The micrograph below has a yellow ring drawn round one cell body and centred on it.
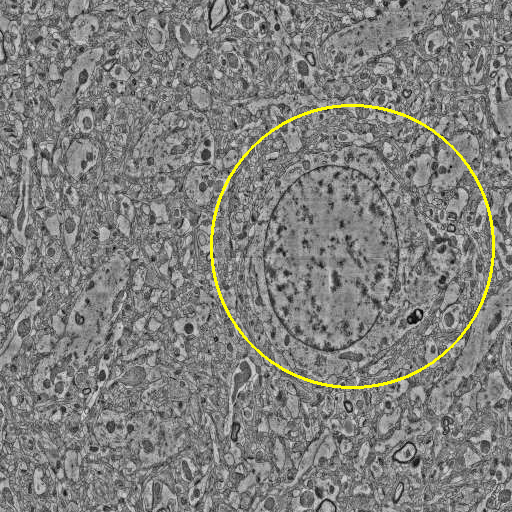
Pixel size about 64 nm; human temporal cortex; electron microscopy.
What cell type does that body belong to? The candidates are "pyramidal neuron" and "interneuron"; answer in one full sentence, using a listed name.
This is a pyramidal neuron, the cell whose body lies at the centre of the ring.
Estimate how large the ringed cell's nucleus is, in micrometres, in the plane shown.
The nucleus of the ringed cell is approximately 12 by 9 micrometres in this plane.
